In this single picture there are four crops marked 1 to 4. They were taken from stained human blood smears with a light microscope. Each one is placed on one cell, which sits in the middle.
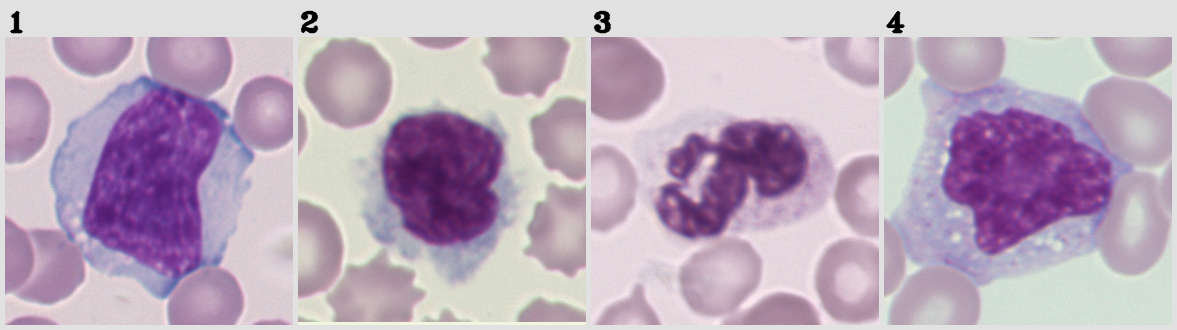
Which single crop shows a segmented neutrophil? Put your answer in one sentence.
In the set of crops, crop 3 is the one that contains a segmented neutrophil.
